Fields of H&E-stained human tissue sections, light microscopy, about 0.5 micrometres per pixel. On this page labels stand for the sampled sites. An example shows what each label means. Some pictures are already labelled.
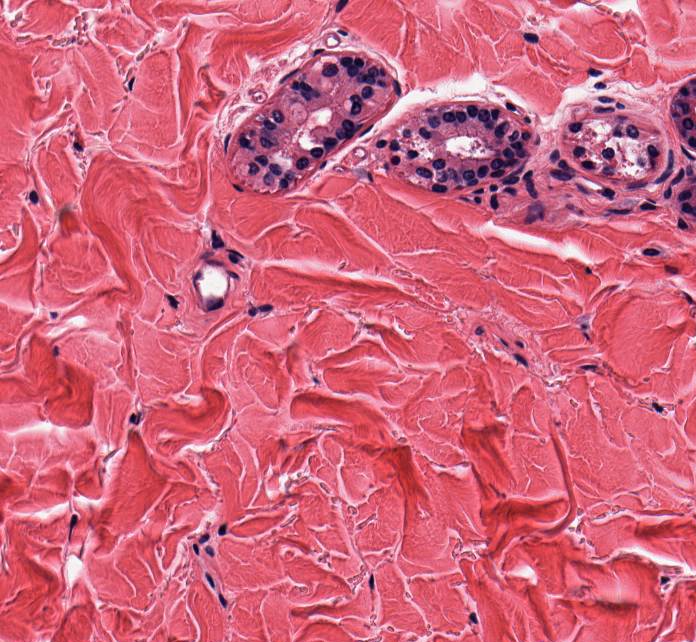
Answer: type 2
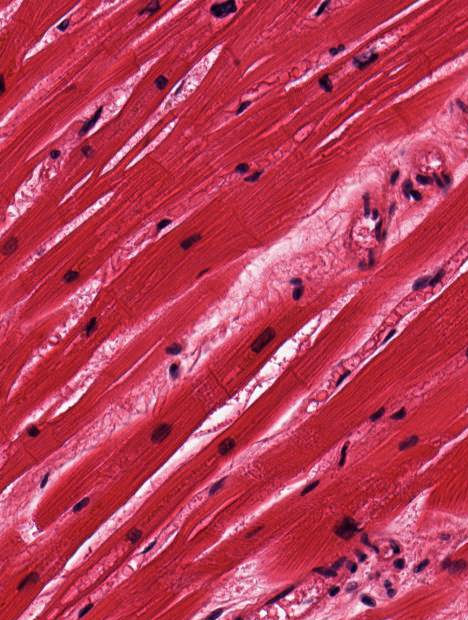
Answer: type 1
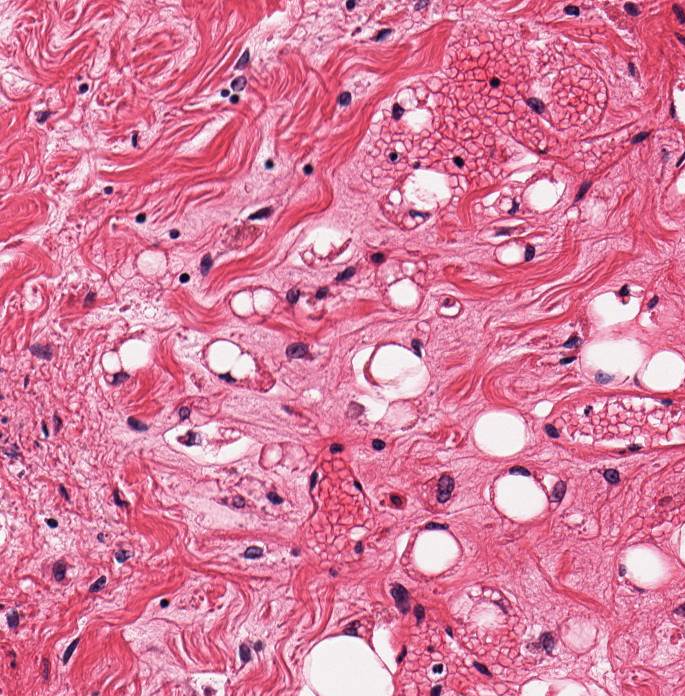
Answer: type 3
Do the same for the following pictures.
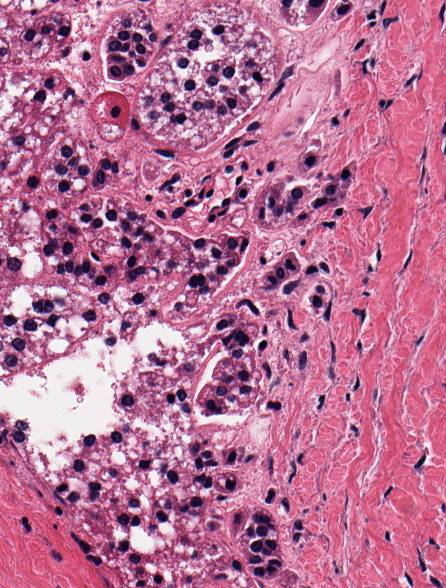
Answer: type 3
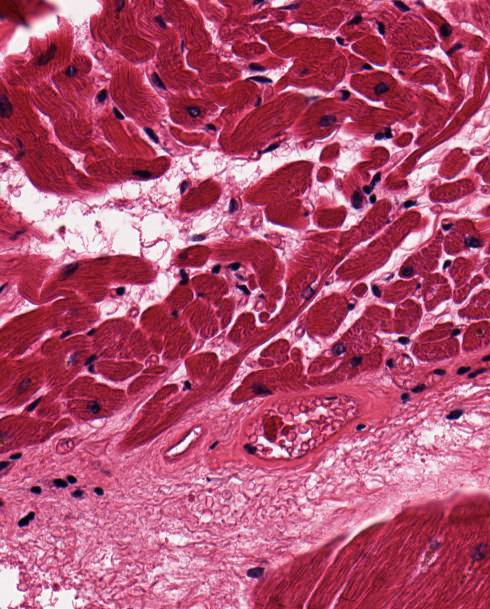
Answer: type 1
